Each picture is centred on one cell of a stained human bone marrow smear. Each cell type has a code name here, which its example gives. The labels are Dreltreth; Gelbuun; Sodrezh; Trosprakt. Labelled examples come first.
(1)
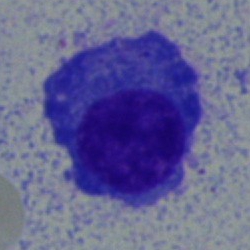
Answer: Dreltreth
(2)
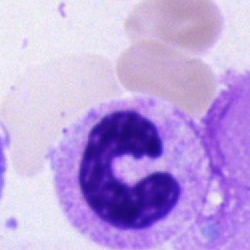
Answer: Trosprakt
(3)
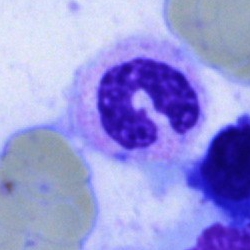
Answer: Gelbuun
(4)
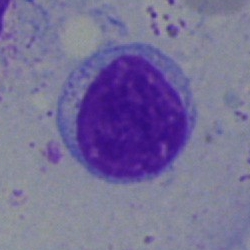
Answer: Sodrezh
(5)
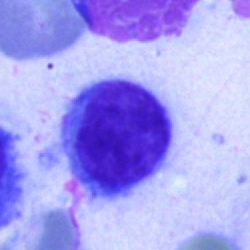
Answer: Sodrezh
